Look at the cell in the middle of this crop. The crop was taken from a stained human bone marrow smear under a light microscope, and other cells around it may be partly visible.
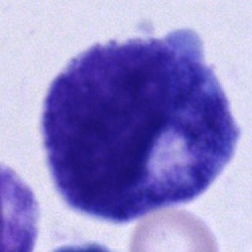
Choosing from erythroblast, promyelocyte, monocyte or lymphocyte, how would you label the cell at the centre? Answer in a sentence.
For this crop, the central cell is a promyelocyte.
